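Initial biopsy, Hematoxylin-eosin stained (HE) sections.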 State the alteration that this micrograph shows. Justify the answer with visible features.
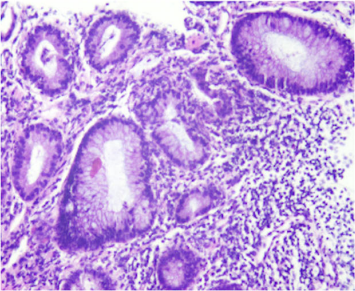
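Inflammation. The lamina propria between crypts is densely filled with small dark inflammatory nuclei. Crypts of varying size are separated by this cellular infiltrate.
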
